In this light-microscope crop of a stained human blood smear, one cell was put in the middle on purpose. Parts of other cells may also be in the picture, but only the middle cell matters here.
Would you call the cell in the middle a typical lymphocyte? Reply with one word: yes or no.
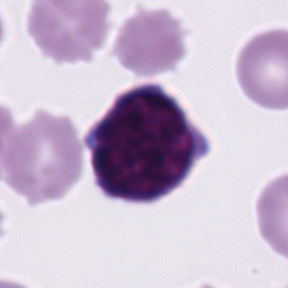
no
